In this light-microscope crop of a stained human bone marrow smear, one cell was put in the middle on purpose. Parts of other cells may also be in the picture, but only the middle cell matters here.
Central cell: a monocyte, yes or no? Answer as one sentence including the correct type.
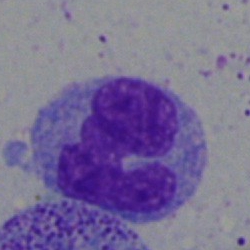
Yes, a monocyte occupies the middle of the crop.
